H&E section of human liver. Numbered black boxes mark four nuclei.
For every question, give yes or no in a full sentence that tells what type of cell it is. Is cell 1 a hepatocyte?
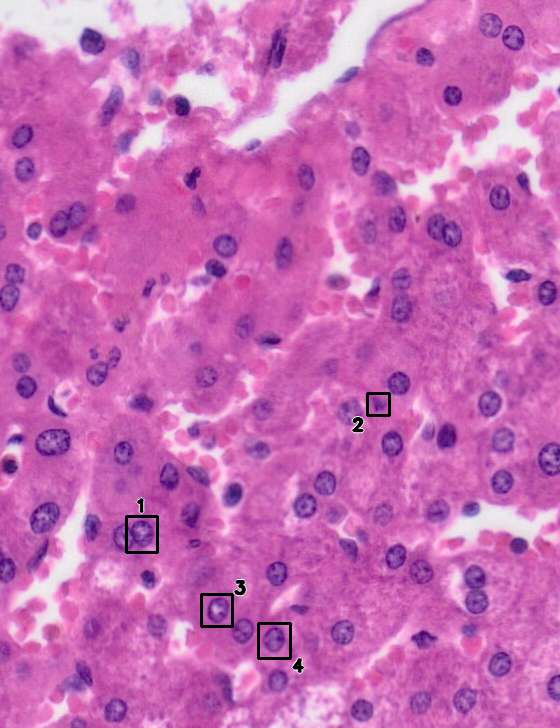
Yes, the cell referred to as number 1 is a hepatocyte.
